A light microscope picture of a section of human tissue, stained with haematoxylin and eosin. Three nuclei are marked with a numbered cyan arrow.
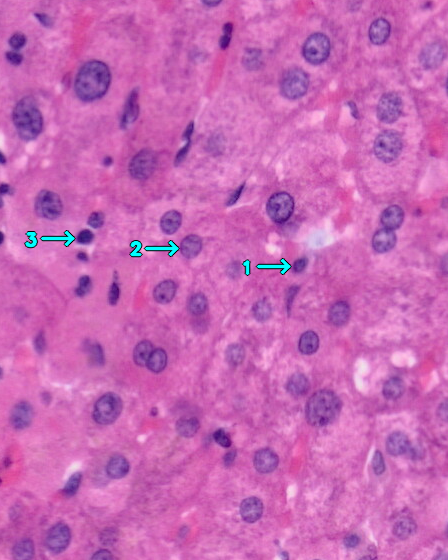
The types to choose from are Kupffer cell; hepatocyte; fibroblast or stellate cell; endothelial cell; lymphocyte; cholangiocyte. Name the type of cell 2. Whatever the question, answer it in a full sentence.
The correct answer for cell 2 is a hepatocyte.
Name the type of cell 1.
The expected answer is that cell 1 is a lymphocyte.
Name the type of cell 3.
The cell marked with the number 3 is a lymphocyte.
